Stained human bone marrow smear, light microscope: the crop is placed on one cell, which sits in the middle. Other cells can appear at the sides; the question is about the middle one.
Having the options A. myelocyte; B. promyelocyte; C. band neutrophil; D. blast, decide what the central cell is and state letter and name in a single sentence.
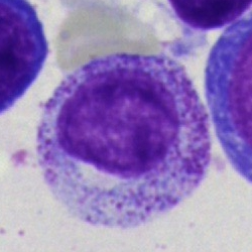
Occupying the middle of the crop is a myelocyte, hence option A is correct.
